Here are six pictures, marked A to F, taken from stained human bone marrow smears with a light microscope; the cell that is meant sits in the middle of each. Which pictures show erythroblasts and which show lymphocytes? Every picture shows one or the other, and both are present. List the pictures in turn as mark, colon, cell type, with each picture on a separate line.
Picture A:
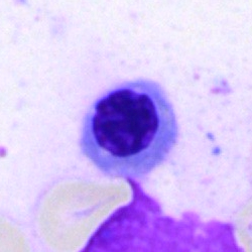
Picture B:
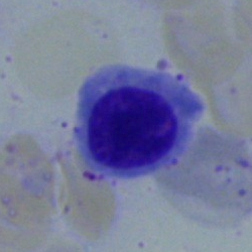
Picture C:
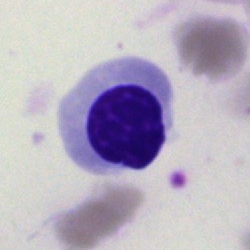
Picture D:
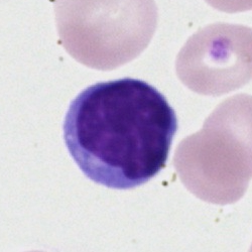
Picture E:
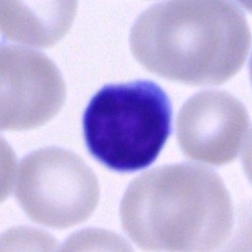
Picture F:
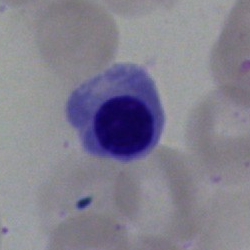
A: erythroblast
B: erythroblast
C: erythroblast
D: lymphocyte
E: lymphocyte
F: erythroblast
